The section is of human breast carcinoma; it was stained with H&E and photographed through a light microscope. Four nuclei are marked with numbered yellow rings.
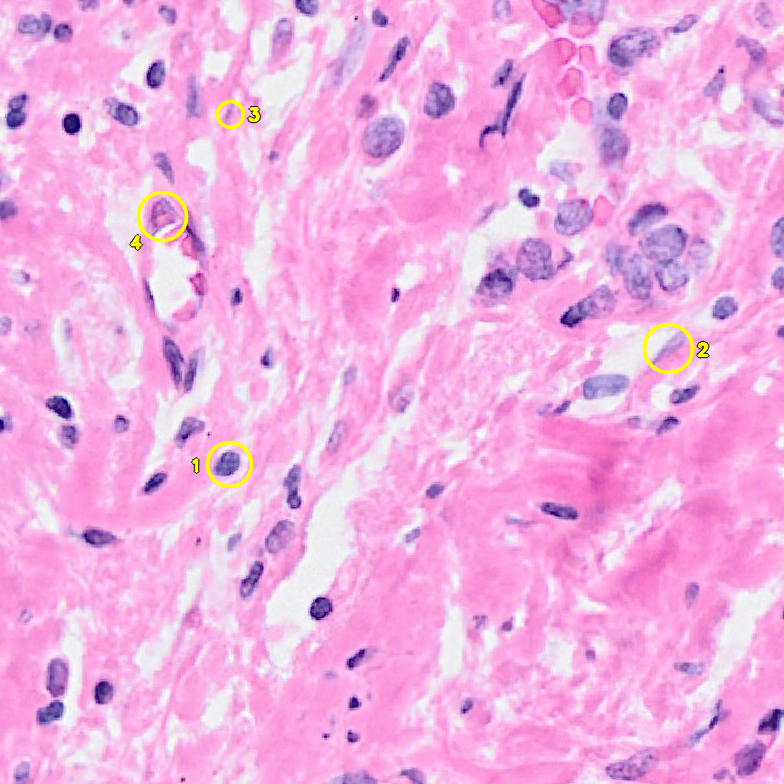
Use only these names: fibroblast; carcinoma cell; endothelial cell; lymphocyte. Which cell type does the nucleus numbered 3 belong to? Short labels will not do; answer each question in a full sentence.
Here, the cell given the number 3 is a fibroblast.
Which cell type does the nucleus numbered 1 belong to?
In this section, the cell tagged 1 is a lymphocyte.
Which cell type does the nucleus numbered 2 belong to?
Cell 2 should be recorded as a fibroblast.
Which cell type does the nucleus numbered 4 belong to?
The numeral 4 marks an endothelial cell in this section.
